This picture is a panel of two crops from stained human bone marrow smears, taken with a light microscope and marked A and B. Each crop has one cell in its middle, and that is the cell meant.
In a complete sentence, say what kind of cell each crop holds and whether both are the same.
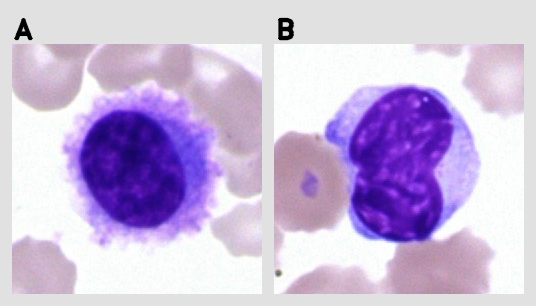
Yes, hairy cells are the central cells in the two crops.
